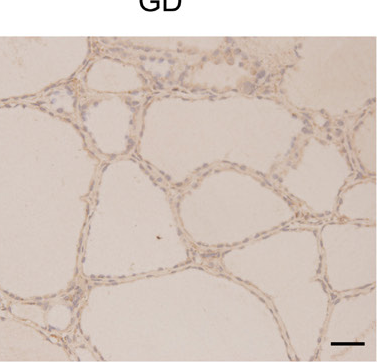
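This section of thyroid shows closely packed follicles of varying size, each filled with pale, homogeneous colloid. A single layer of follicular epithelial cells lines each follicle, and their oval blue nuclei are easy to pick out along the walls. Thin septa of connective tissue separate the follicles, with small clusters of nuclei where several follicles meet. The brown stain is faint and evenly spread, giving the walls only a light tan colour.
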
